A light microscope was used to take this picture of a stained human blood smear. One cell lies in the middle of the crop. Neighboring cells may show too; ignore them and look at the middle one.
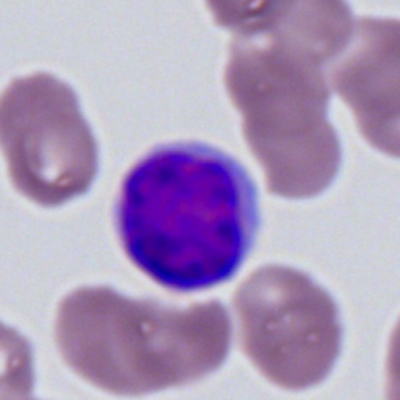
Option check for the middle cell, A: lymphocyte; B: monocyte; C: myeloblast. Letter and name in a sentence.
The correct option, A, names the middle cell as a lymphocyte.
